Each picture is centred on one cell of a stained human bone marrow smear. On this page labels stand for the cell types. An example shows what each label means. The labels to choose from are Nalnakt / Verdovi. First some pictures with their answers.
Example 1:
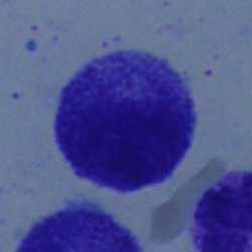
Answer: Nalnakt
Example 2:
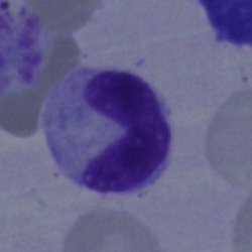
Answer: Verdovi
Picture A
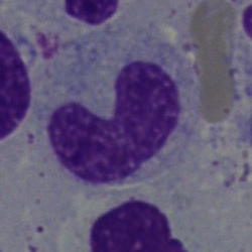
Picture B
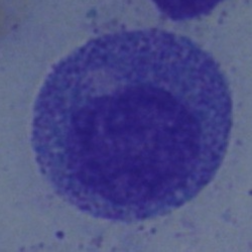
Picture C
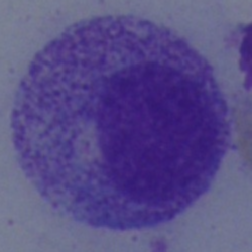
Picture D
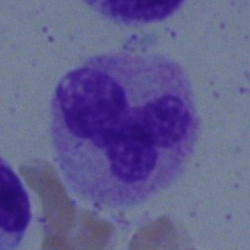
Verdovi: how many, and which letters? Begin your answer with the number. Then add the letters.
2, namely A, D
